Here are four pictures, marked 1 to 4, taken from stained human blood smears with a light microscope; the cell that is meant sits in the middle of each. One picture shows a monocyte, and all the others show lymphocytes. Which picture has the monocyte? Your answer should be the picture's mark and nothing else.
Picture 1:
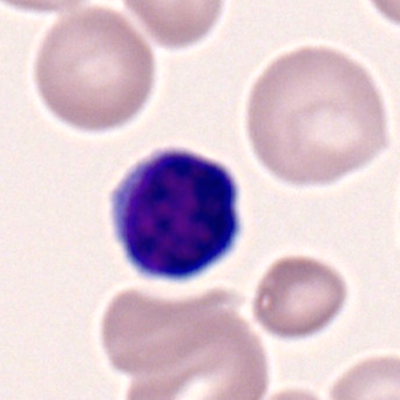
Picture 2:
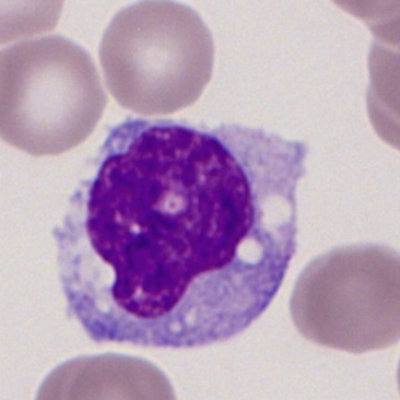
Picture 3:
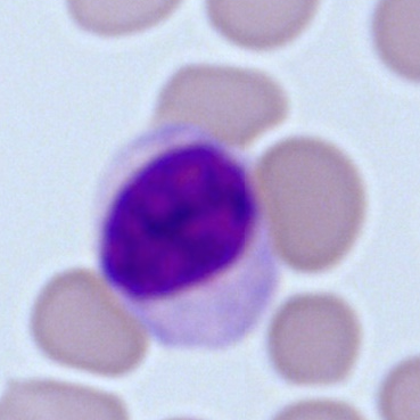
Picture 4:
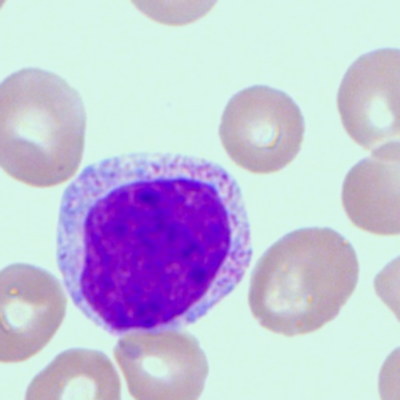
2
